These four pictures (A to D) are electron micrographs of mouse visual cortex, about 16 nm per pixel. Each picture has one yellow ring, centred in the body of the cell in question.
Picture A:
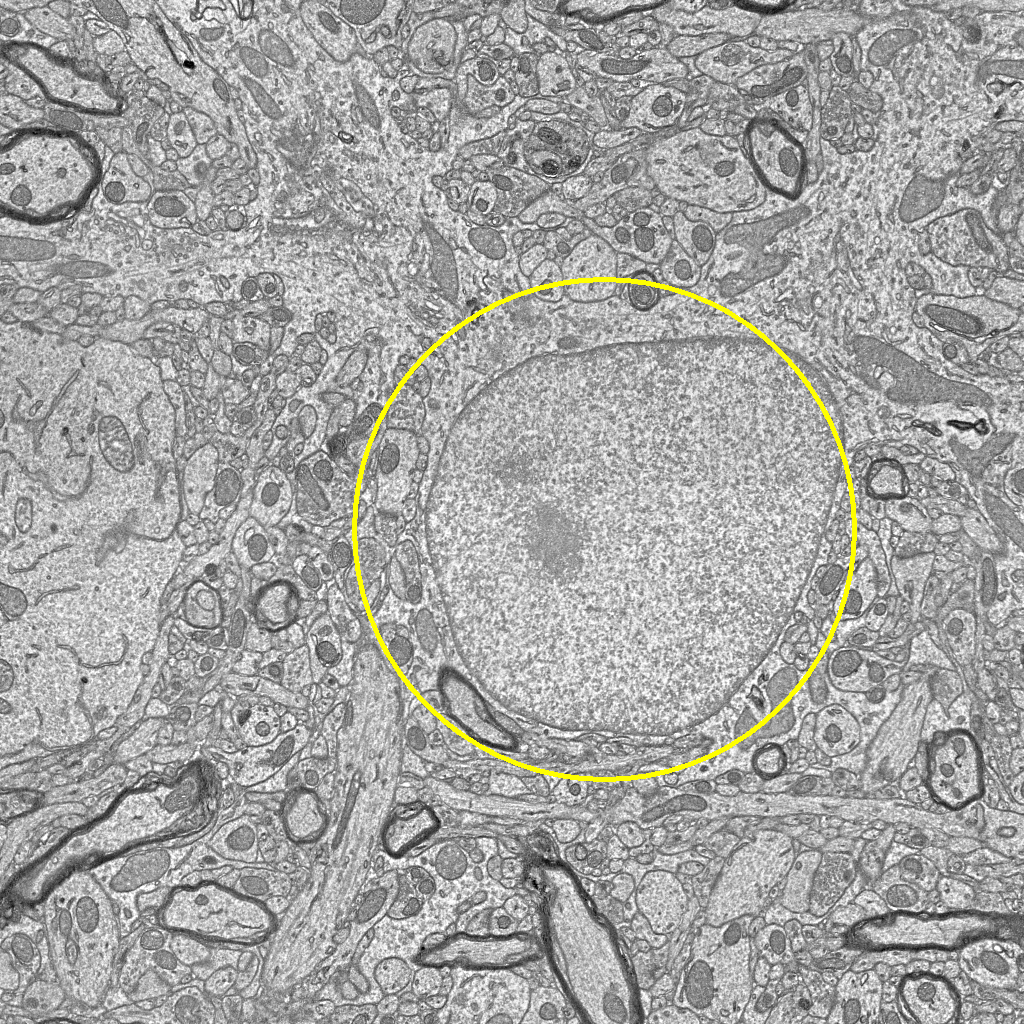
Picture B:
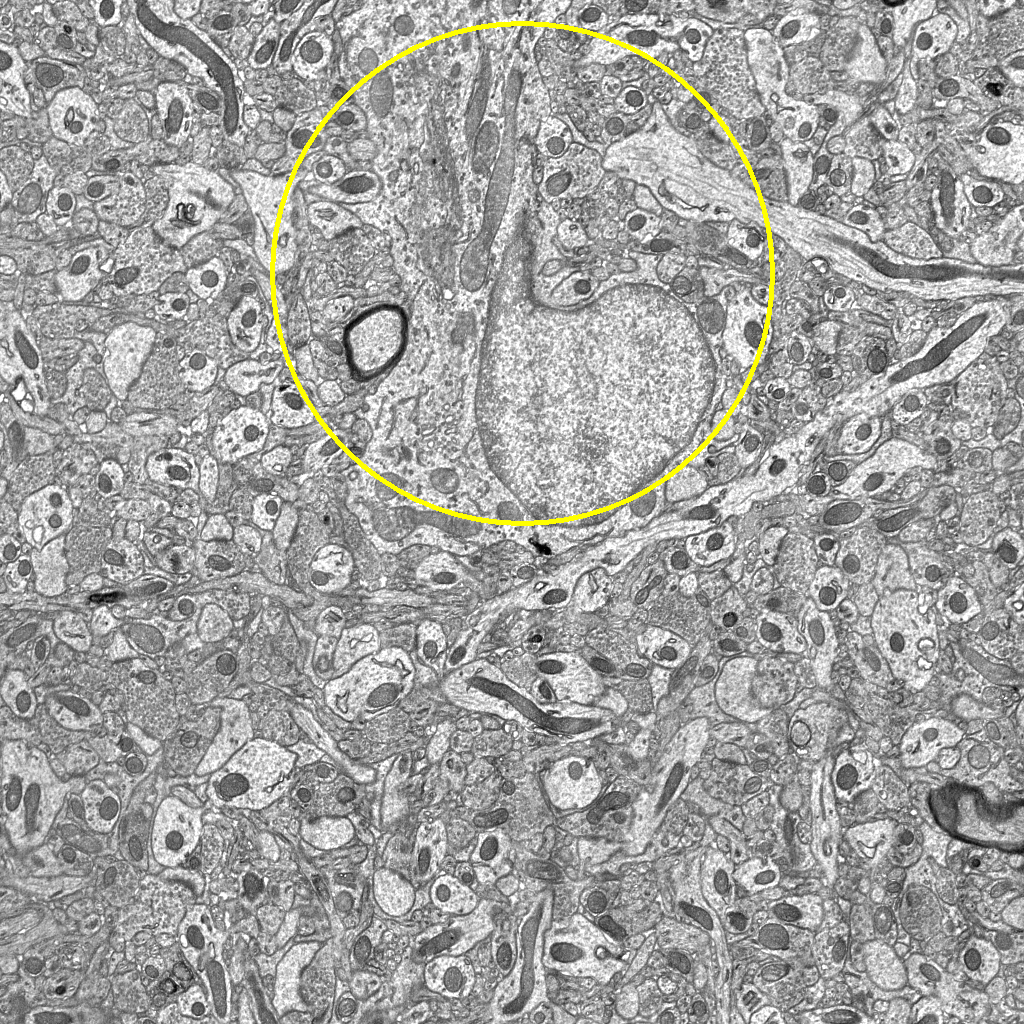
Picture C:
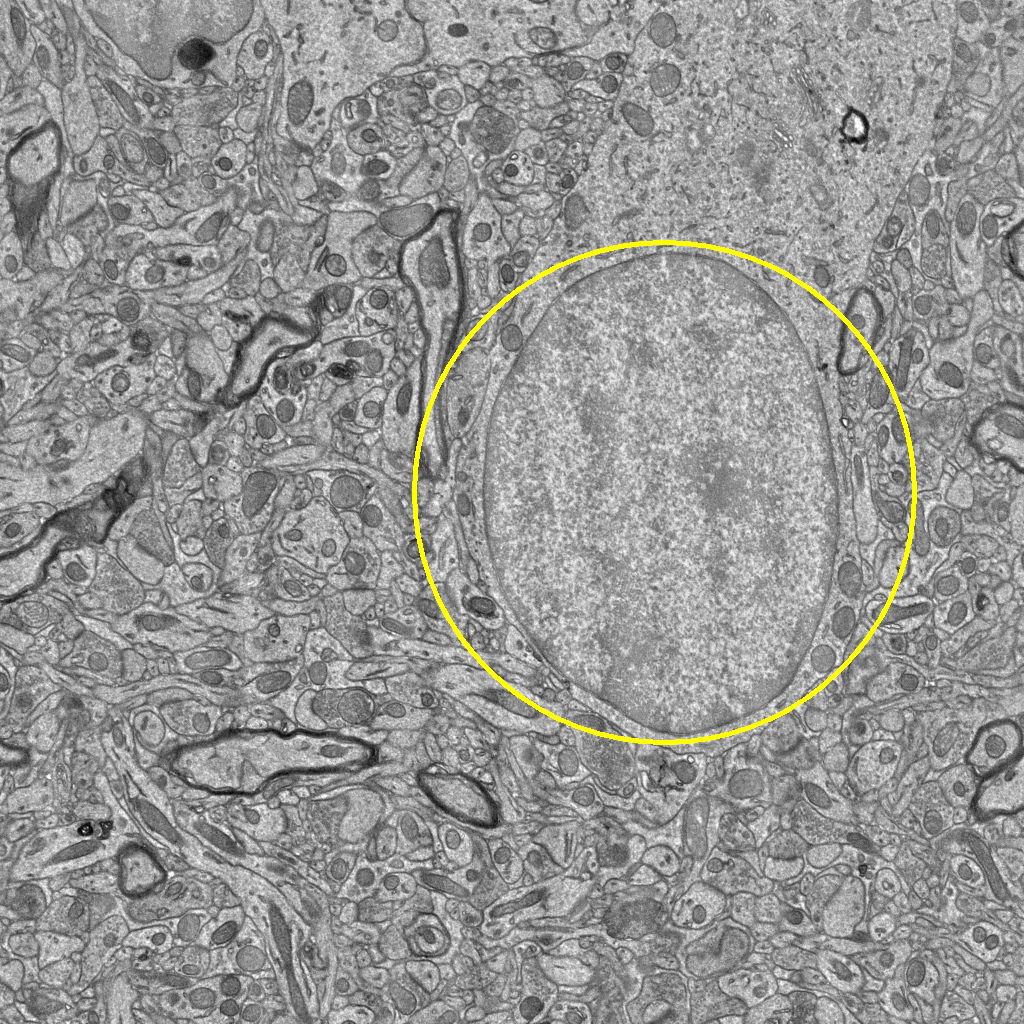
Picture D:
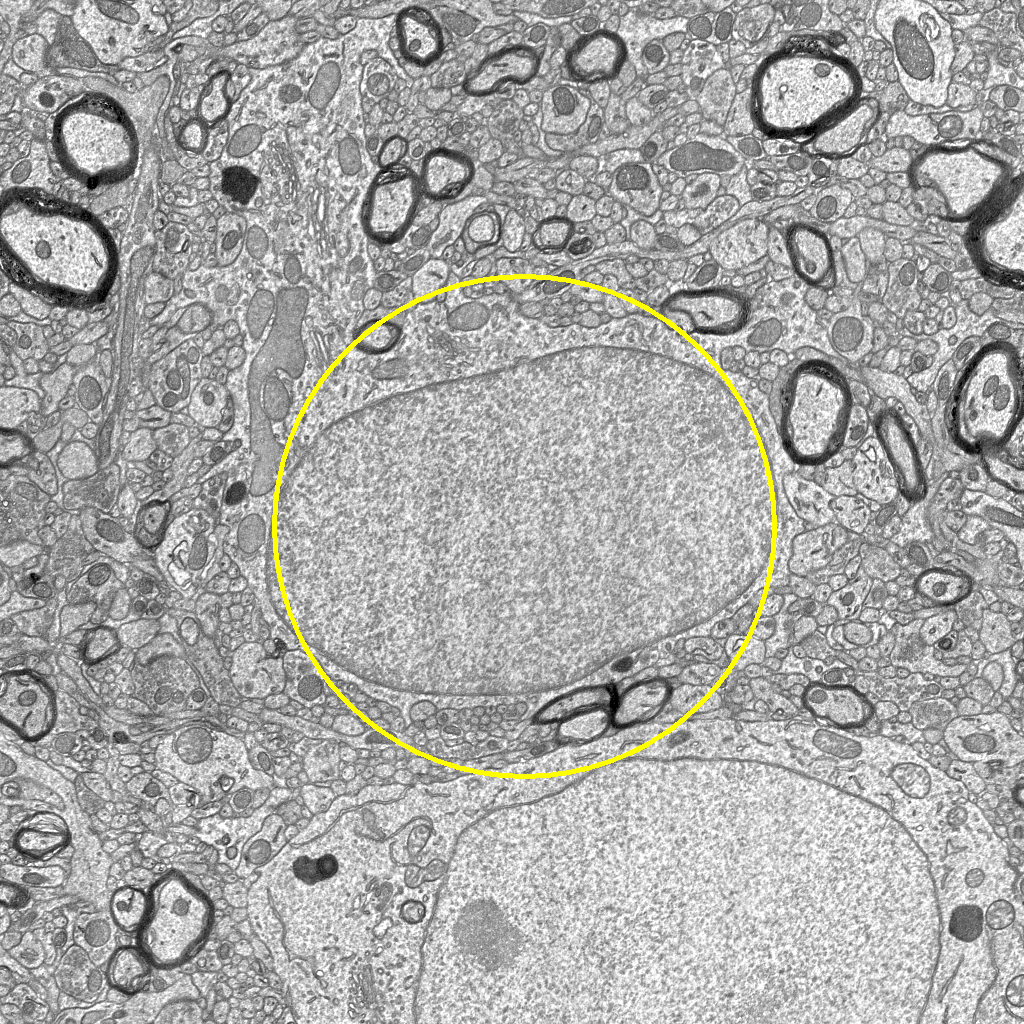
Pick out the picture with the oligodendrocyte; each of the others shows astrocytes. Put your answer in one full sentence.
Picture C is the one that shows the oligodendrocyte.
